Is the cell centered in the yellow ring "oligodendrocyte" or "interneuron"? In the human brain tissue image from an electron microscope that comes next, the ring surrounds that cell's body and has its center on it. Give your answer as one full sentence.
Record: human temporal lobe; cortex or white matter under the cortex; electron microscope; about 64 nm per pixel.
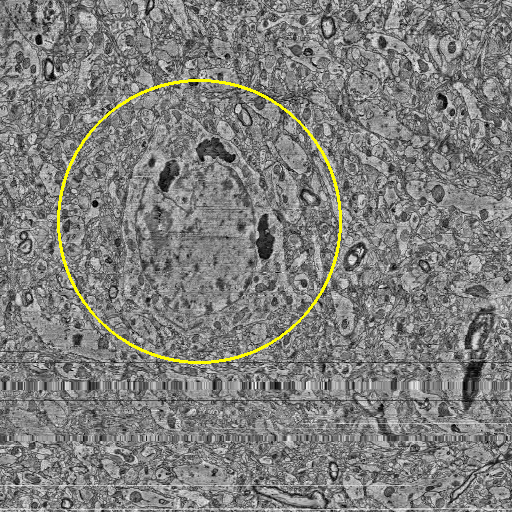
The cell at the center of the yellow ring is an interneuron in the micrograph.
